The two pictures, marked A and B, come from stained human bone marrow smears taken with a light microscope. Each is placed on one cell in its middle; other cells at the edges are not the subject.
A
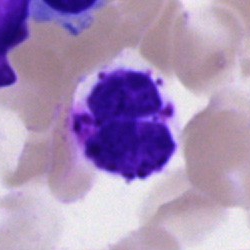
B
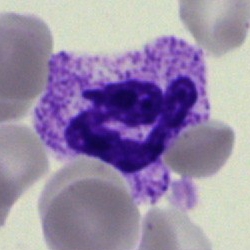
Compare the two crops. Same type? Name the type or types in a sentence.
No, crop A offers a basophil, while crop B offers a neutrophil.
